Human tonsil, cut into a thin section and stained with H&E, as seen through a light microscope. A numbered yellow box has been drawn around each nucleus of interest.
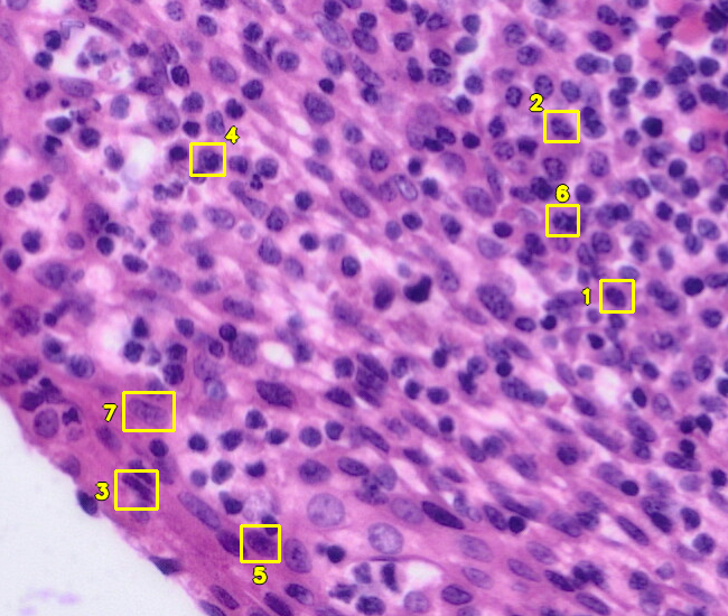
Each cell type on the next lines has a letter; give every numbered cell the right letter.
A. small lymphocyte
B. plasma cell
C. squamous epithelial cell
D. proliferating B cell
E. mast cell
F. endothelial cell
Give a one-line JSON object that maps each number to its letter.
{"1": "B", "2": "B", "3": "C", "4": "B", "5": "C", "6": "B", "7": "C"}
